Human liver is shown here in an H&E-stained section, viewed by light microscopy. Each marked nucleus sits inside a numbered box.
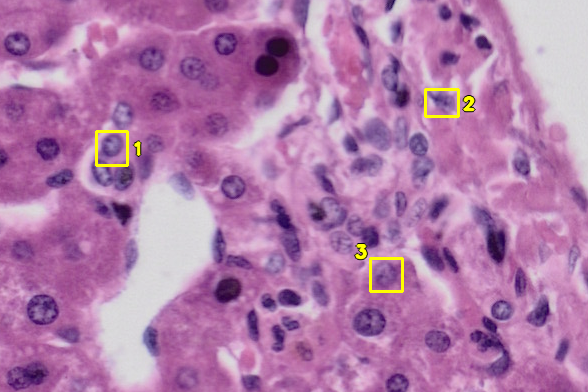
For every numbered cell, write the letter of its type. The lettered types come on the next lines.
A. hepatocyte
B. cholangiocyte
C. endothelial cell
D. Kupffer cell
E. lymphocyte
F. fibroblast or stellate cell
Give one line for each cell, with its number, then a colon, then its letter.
1: B
2: F
3: B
